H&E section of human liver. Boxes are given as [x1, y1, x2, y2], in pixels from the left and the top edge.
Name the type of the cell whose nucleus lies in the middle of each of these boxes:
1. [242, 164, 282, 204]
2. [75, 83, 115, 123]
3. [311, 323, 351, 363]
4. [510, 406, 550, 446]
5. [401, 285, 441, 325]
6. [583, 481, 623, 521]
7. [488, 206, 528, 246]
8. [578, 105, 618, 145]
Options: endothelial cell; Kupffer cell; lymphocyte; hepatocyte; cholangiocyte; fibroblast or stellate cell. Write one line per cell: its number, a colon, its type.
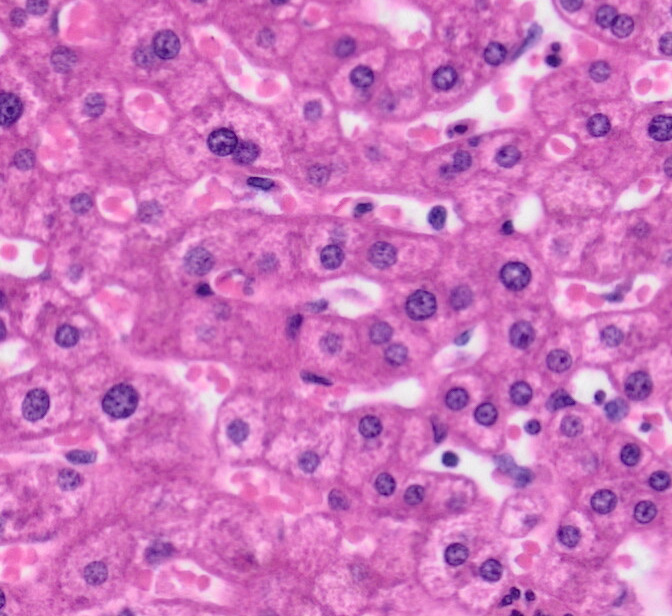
1: Kupffer cell
2: hepatocyte
3: hepatocyte
4: lymphocyte
5: hepatocyte
6: hepatocyte
7: fibroblast or stellate cell
8: hepatocyte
